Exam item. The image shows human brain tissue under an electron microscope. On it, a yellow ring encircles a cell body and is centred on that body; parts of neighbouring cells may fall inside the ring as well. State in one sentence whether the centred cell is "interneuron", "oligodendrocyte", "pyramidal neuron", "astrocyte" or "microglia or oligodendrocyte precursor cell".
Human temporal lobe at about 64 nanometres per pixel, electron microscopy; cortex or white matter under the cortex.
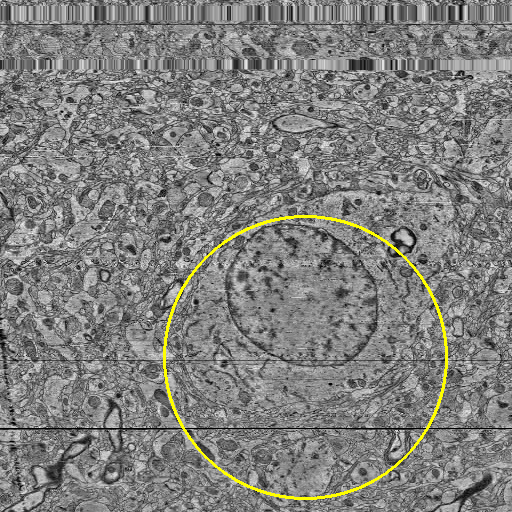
The cell body centred in the ring is a pyramidal neuron.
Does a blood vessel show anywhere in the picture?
No, a blood vessel is absent from this picture.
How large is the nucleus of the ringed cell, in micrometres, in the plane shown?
In this plane, about 10 micrometres in length and 9 in width.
